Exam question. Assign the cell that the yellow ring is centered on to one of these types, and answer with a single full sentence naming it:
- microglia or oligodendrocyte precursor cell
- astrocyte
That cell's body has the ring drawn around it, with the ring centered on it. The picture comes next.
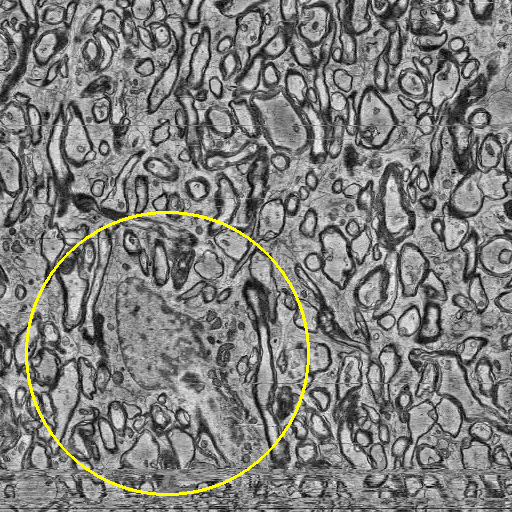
In the micrograph, the cell the yellow ring is centered on is an astrocyte.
